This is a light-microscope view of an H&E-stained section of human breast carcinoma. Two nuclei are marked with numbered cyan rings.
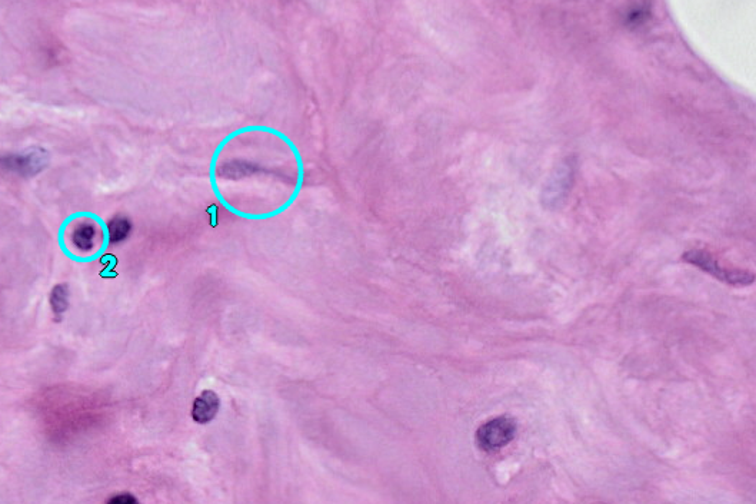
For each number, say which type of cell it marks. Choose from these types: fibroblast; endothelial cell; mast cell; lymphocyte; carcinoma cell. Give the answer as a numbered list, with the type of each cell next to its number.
1. fibroblast
2. lymphocyte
